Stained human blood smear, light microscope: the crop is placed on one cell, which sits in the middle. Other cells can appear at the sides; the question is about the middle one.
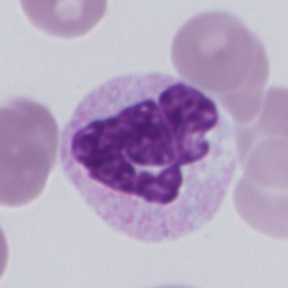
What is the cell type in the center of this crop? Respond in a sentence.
As for the central cell, it is a segmented neutrophil.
